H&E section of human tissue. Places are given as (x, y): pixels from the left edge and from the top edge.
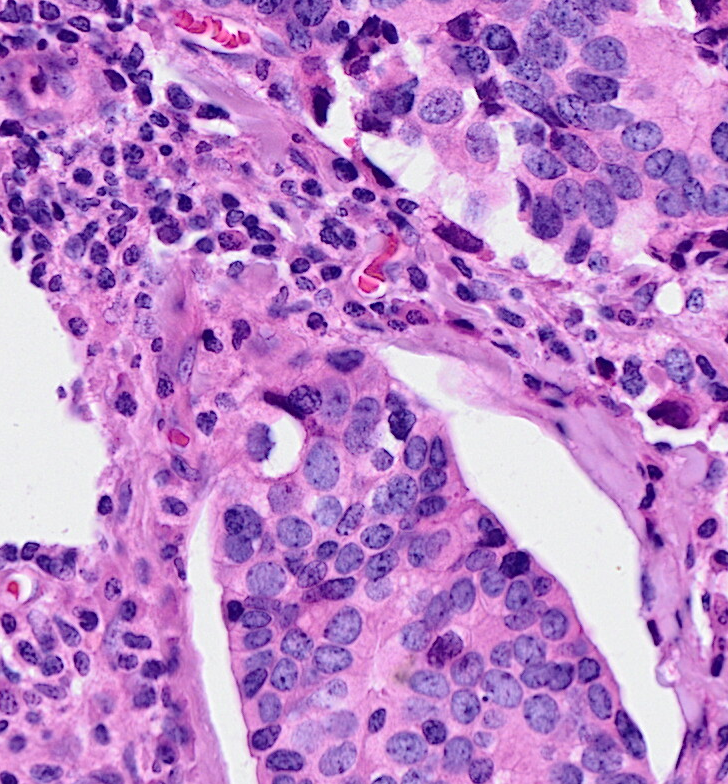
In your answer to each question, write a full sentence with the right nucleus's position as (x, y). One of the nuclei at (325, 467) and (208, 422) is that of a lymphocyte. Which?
The cell to which the nucleus at (208, 422) belongs is a lymphocyte.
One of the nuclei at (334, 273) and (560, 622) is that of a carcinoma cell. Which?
Housed in a carcinoma cell is the nucleus at (560, 622), not the other one.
